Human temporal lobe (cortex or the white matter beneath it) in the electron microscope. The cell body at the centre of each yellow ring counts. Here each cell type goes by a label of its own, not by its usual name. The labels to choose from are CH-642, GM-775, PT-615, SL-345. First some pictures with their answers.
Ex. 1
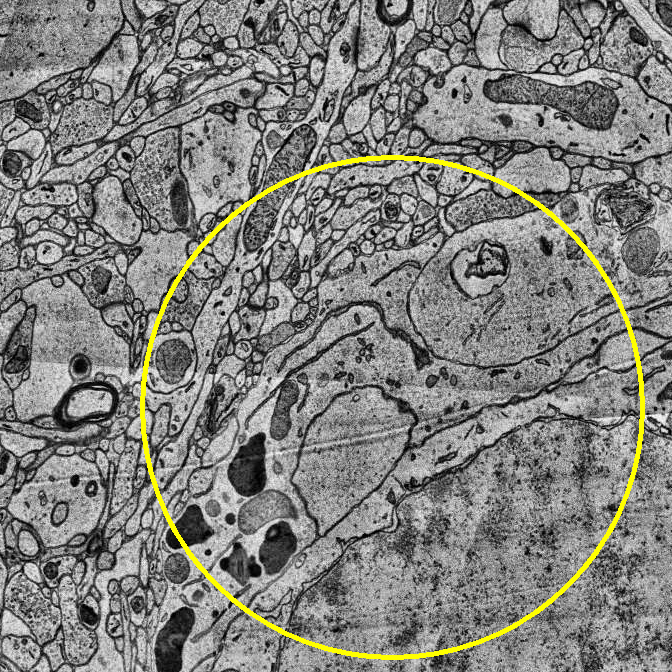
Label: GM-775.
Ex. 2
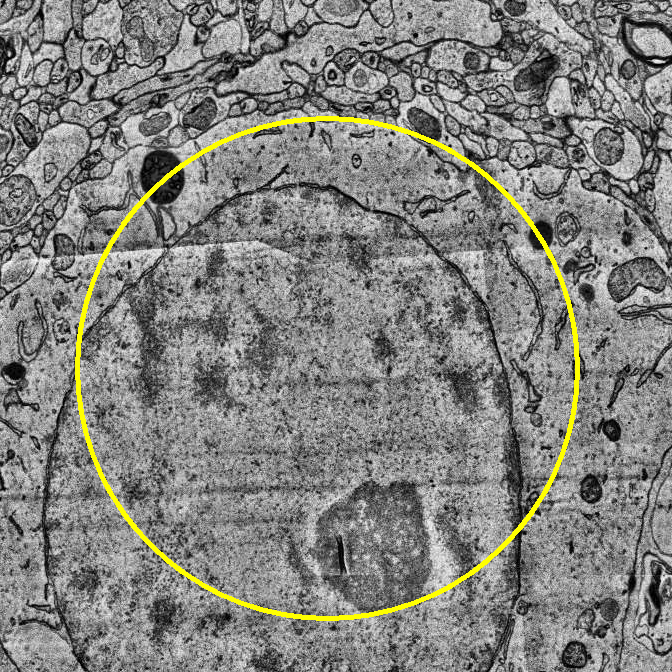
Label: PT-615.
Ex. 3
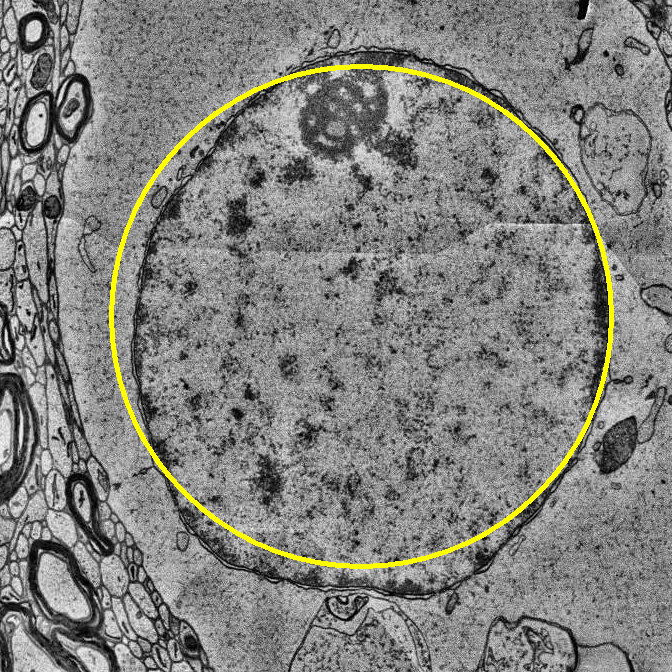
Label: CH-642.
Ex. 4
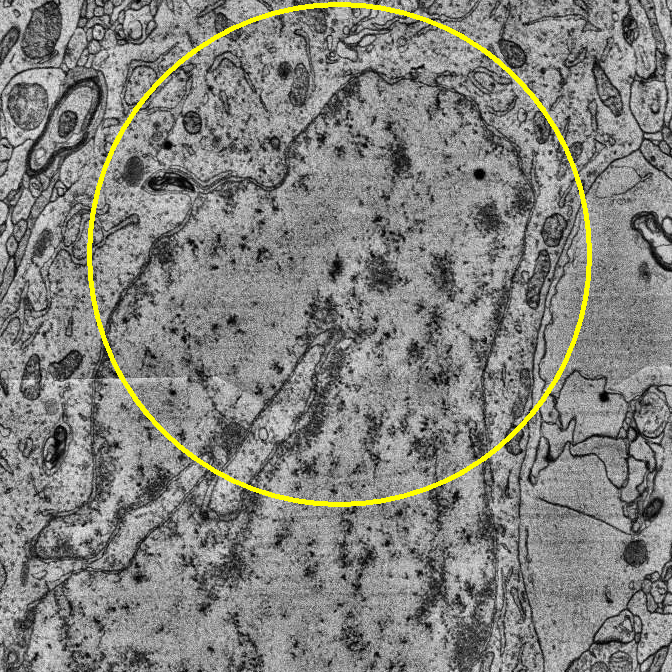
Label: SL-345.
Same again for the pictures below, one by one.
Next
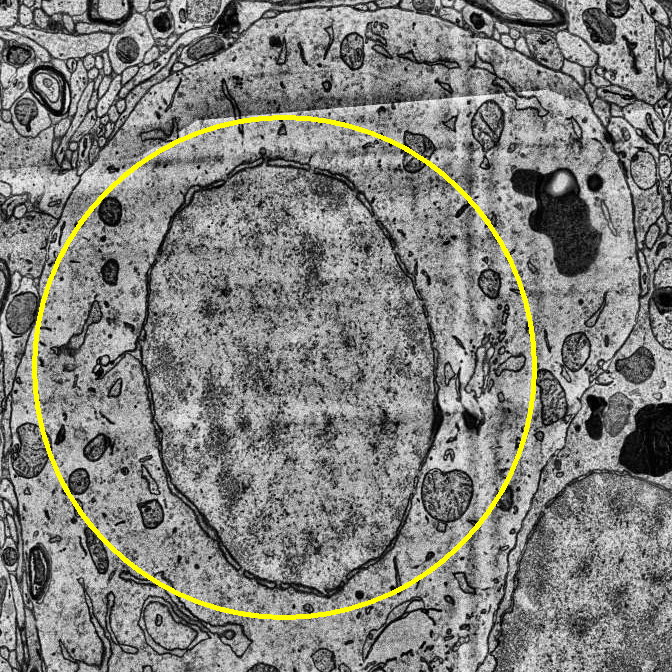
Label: PT-615.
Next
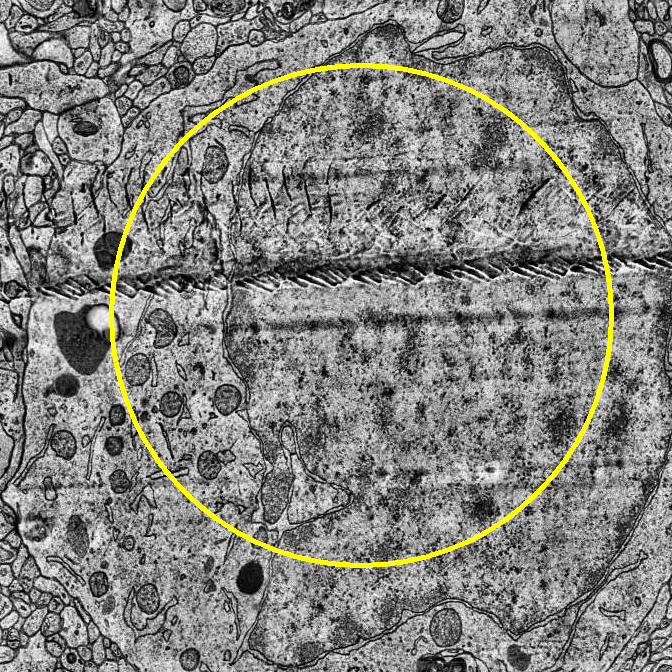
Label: SL-345.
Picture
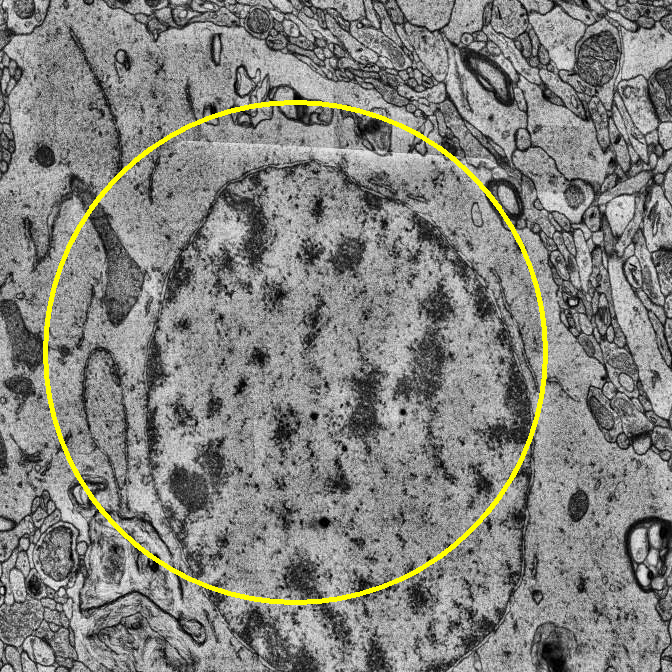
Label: CH-642.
